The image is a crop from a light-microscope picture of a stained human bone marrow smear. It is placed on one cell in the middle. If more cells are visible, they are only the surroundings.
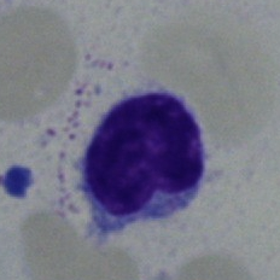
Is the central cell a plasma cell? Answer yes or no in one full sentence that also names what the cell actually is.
No, the cell in the middle should be called a lymphocyte instead of a plasma cell.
